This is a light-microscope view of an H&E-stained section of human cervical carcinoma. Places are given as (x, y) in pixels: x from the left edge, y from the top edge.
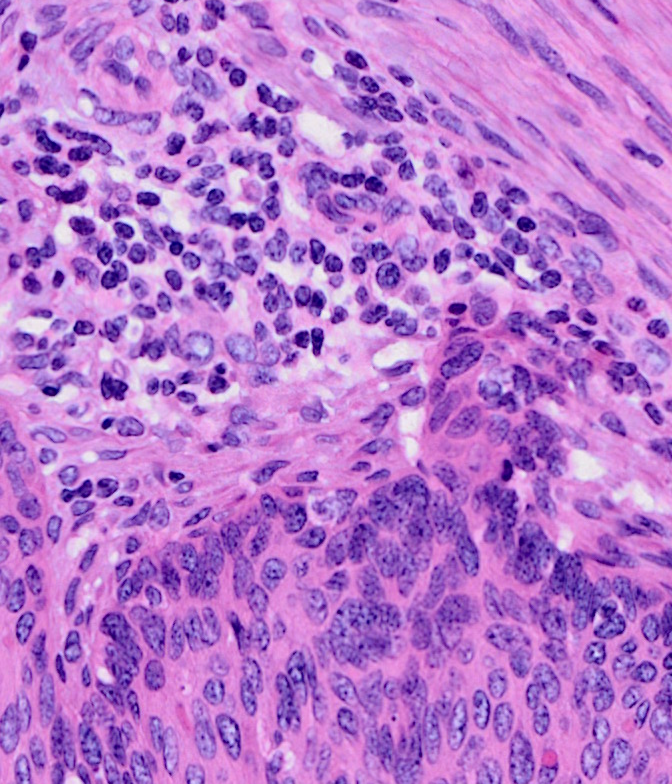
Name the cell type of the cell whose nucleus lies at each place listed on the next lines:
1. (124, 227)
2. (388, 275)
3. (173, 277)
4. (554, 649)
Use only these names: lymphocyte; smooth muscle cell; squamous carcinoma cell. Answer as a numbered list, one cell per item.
1. lymphocyte
2. lymphocyte
3. lymphocyte
4. squamous carcinoma cell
